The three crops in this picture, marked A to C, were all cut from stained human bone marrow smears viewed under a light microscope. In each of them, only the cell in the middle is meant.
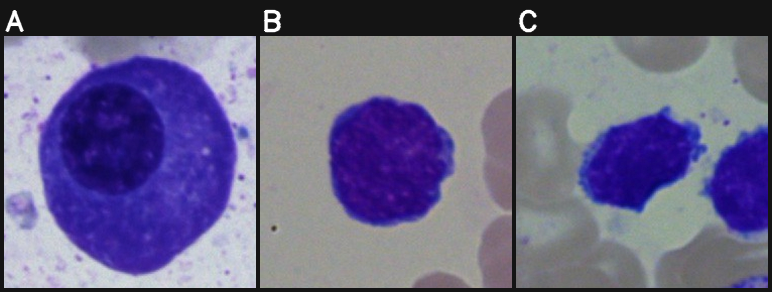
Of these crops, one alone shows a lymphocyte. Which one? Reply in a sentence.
Among the crops, only crop C contains a lymphocyte.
